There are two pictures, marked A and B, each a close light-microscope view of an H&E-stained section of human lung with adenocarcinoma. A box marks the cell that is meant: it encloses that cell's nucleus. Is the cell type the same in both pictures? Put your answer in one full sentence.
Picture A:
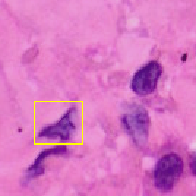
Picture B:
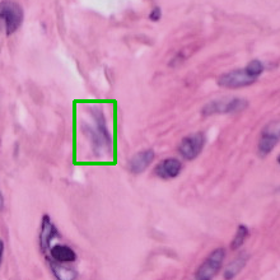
Yes, both cells are fibroblasts.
